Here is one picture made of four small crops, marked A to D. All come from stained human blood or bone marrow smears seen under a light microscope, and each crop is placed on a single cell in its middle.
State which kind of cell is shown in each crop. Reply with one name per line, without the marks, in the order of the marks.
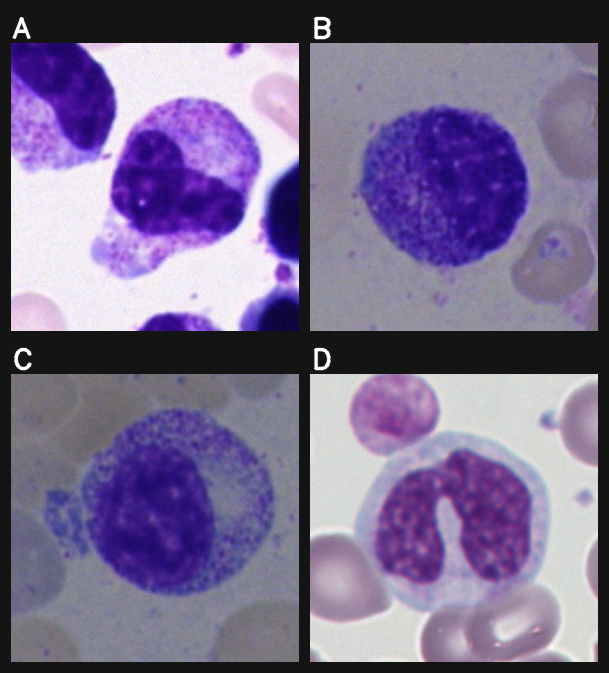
metamyelocyte
myelocyte
myelocyte
monocyte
